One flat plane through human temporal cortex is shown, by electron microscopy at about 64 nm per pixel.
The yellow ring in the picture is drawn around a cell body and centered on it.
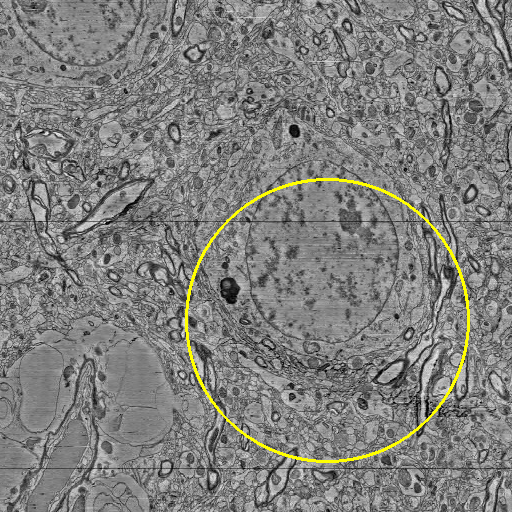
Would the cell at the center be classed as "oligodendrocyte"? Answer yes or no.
No, it belongs to another class.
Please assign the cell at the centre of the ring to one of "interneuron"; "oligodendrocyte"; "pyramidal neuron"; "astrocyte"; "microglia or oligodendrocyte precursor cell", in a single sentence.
The cell circled by the yellow ring is a pyramidal neuron.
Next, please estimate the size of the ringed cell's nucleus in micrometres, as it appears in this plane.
The nucleus comes to roughly 12 by 10 micrometres in this plane.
